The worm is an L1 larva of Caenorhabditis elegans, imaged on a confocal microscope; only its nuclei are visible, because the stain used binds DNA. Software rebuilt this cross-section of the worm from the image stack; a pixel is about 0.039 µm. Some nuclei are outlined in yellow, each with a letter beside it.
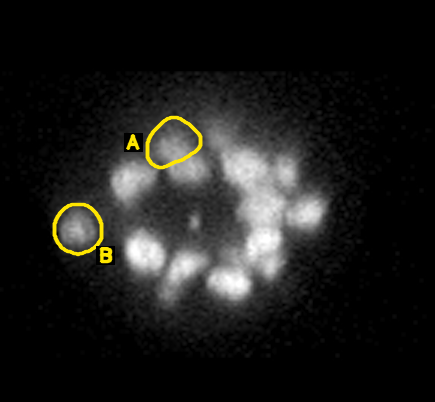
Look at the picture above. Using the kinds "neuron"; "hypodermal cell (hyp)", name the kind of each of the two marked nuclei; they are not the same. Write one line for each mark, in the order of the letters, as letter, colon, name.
A: neuron
B: hypodermal cell (hyp)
